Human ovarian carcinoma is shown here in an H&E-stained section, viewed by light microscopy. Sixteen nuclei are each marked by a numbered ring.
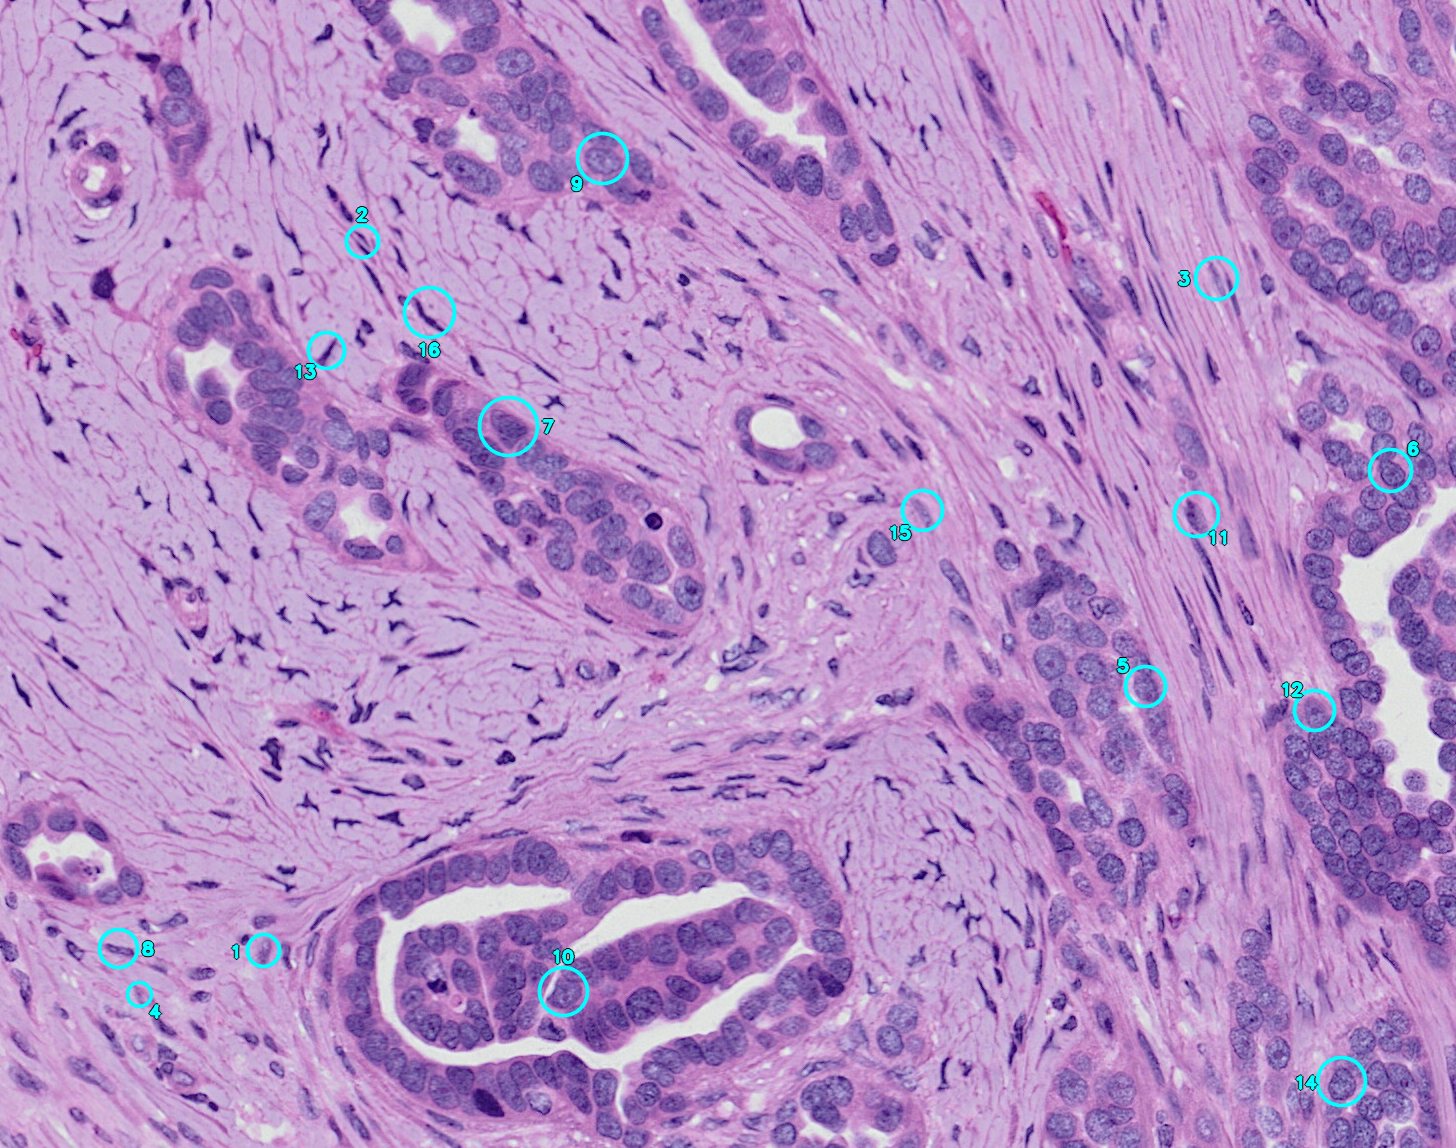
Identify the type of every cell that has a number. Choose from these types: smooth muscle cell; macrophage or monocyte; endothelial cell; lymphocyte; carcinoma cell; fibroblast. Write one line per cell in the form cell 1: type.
cell 1: fibroblast
cell 2: fibroblast
cell 3: fibroblast
cell 4: fibroblast
cell 5: carcinoma cell
cell 6: carcinoma cell
cell 7: carcinoma cell
cell 8: fibroblast
cell 9: carcinoma cell
cell 10: carcinoma cell
cell 11: fibroblast
cell 12: carcinoma cell
cell 13: fibroblast
cell 14: carcinoma cell
cell 15: fibroblast
cell 16: fibroblast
